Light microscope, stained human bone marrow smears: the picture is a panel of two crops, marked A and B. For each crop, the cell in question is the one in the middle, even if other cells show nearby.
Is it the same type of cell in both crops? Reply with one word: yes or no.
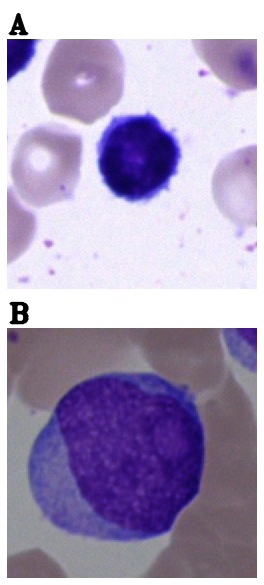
no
